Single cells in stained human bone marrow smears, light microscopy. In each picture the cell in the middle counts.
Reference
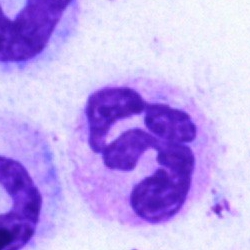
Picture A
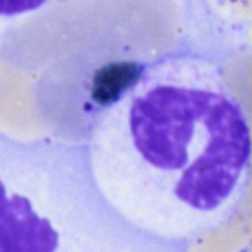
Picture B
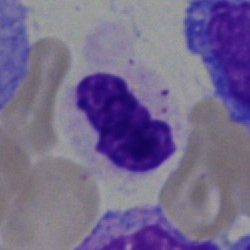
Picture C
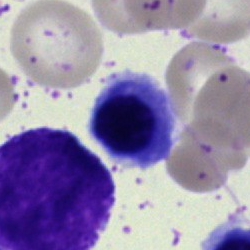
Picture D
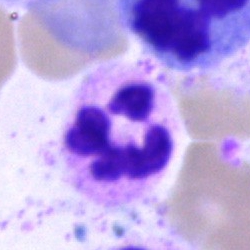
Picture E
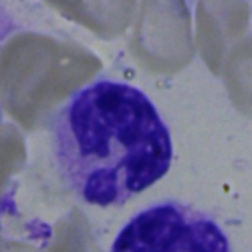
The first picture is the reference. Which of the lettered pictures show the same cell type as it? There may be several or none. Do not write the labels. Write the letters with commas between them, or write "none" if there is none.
D, E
